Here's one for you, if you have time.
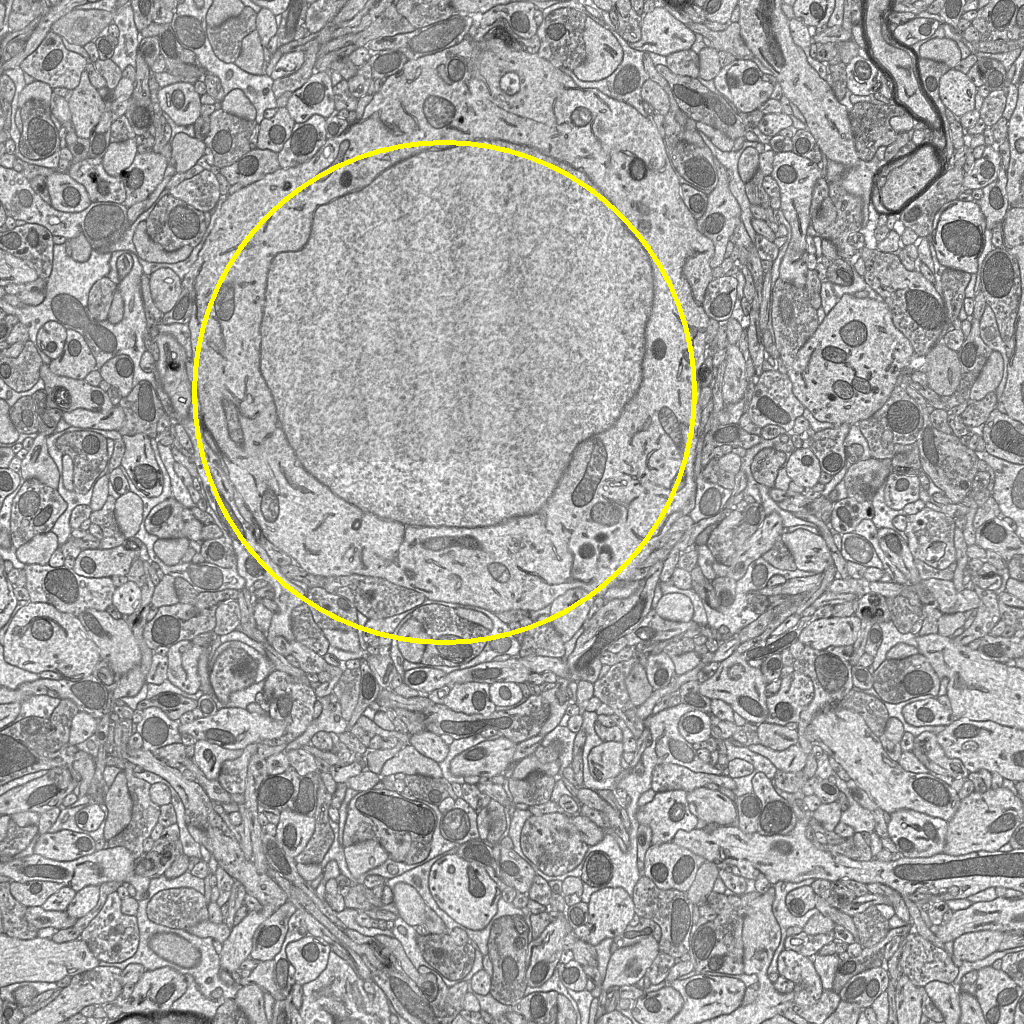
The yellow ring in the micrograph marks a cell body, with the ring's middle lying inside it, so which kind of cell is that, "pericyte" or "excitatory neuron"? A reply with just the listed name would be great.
excitatory neuron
